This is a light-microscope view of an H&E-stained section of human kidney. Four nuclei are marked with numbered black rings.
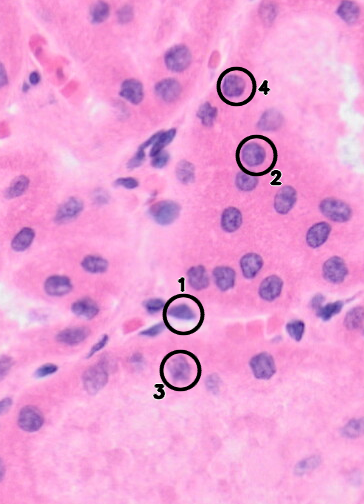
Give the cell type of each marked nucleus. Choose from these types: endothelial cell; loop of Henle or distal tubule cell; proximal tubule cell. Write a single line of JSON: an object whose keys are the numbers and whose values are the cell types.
{"1": "endothelial cell", "2": "proximal tubule cell", "3": "proximal tubule cell", "4": "proximal tubule cell"}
